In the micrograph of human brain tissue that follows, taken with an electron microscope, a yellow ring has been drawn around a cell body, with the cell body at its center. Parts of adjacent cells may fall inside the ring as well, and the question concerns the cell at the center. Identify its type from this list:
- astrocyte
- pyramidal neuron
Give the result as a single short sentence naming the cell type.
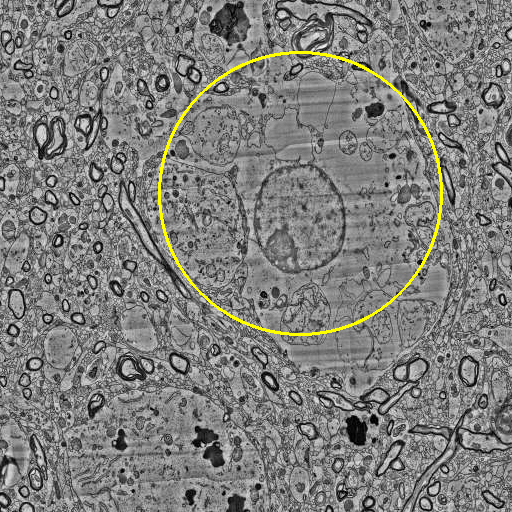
The ring is centered on an astrocyte.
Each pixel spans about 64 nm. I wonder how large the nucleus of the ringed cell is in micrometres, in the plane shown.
The ringed cell's nucleus measures approximately 7 by 6 micrometres in this plane.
